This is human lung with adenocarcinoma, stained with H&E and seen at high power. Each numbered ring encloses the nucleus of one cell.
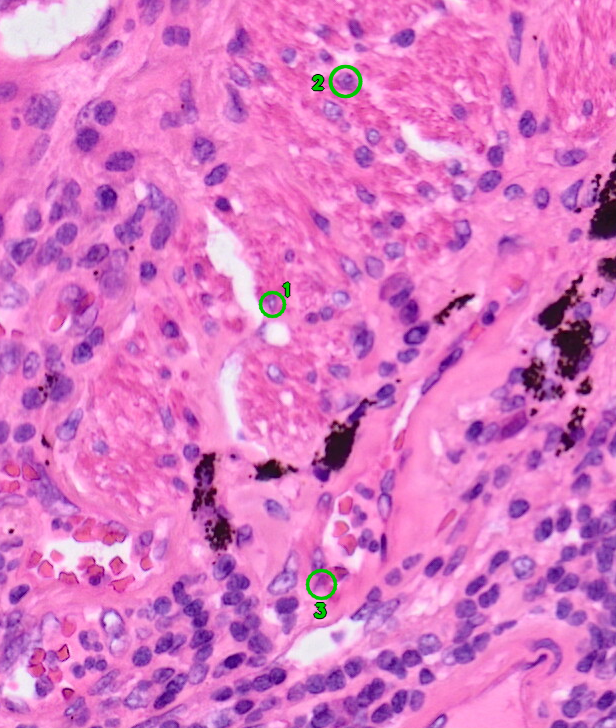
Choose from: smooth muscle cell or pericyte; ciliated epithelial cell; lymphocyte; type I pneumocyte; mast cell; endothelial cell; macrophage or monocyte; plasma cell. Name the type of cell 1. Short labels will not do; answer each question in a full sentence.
The numeral 1 marks a smooth muscle cell or pericyte in this section.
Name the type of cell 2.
What the number 2 marks in this field is a smooth muscle cell or pericyte.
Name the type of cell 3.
Number 3 is placed on an endothelial cell here.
